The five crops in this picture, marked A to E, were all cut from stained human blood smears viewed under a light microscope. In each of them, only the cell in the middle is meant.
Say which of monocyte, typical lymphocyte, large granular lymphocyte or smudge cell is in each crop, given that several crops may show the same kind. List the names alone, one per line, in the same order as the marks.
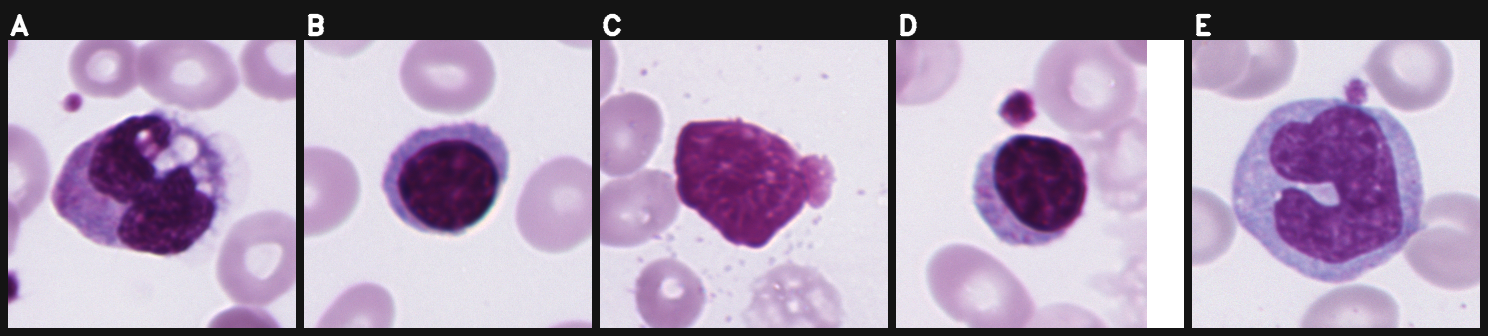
monocyte
large granular lymphocyte
smudge cell
large granular lymphocyte
monocyte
